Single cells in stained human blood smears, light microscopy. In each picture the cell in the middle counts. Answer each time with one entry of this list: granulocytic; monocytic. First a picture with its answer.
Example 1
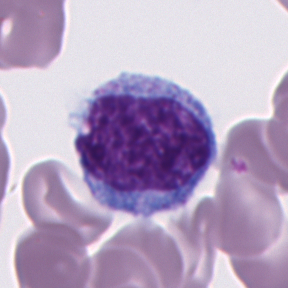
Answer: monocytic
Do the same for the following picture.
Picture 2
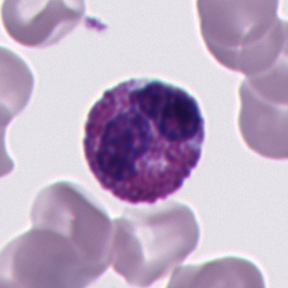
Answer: granulocytic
